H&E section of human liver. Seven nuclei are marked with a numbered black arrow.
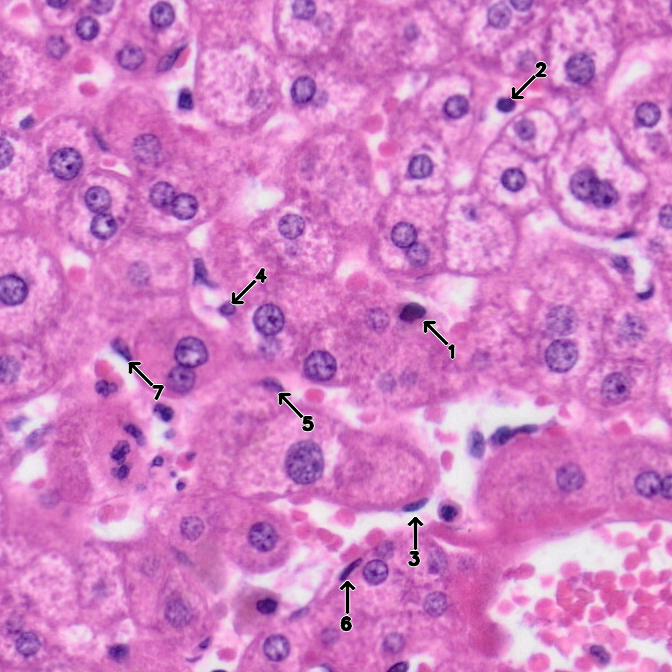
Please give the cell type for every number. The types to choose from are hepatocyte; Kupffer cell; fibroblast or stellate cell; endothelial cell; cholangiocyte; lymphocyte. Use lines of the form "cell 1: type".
cell 1: Kupffer cell
cell 2: lymphocyte
cell 3: endothelial cell
cell 4: Kupffer cell
cell 5: endothelial cell
cell 6: fibroblast or stellate cell
cell 7: endothelial cell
